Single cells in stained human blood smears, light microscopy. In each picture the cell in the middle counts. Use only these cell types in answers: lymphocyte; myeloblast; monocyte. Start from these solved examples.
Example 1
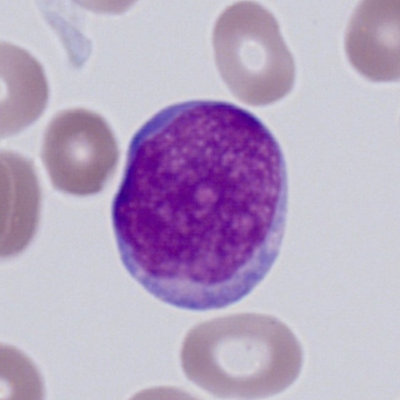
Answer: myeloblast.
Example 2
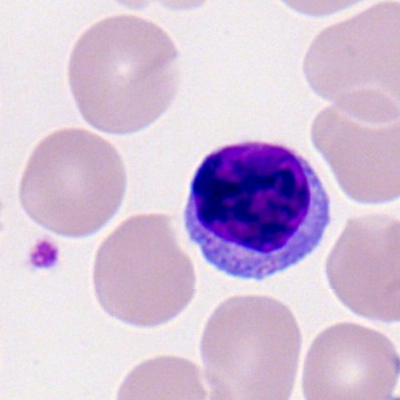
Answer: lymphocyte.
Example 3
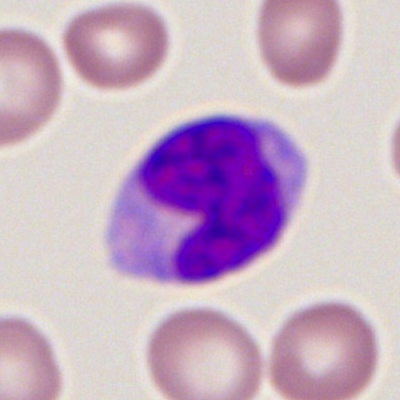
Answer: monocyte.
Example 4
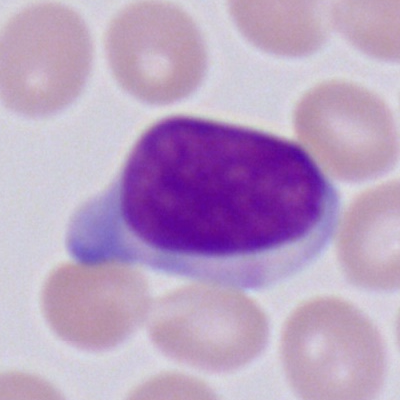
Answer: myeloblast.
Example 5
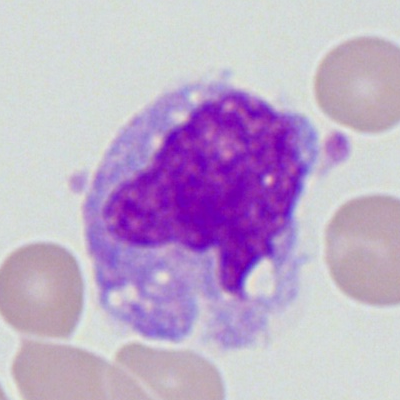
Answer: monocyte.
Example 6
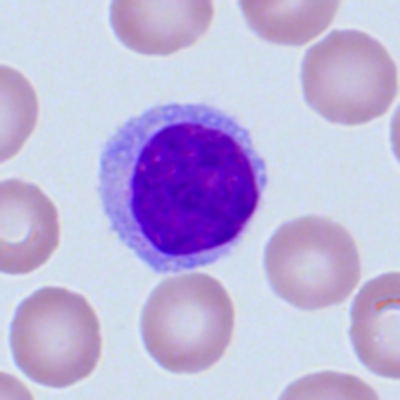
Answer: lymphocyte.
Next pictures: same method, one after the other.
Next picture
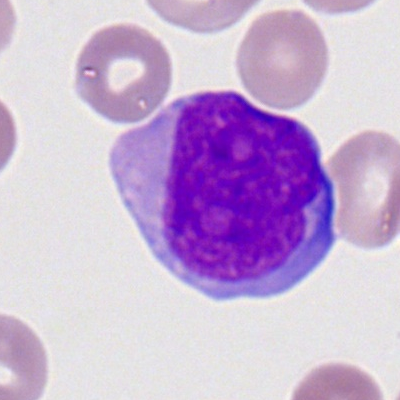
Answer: myeloblast.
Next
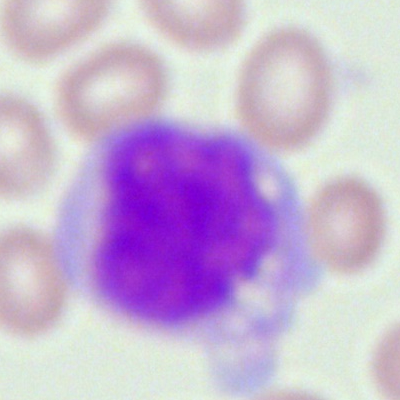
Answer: monocyte.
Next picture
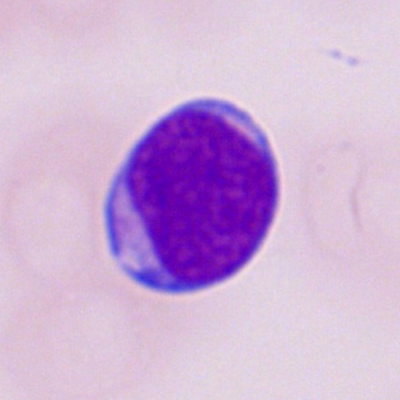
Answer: myeloblast.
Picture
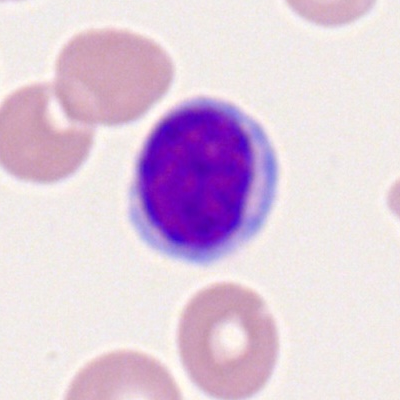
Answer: lymphocyte.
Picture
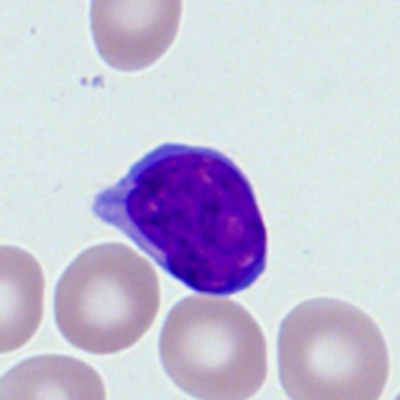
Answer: lymphocyte.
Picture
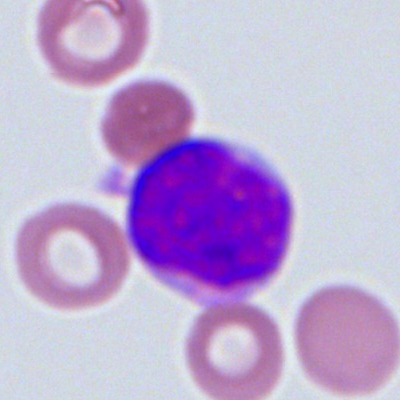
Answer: myeloblast.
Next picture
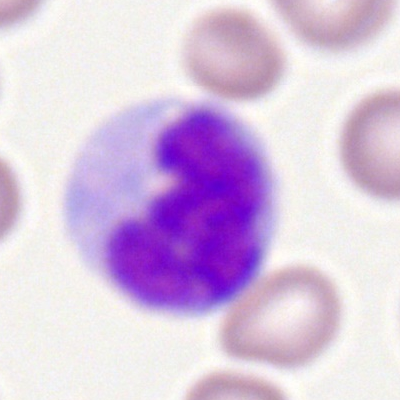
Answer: monocyte.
